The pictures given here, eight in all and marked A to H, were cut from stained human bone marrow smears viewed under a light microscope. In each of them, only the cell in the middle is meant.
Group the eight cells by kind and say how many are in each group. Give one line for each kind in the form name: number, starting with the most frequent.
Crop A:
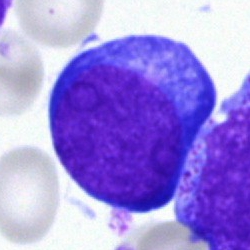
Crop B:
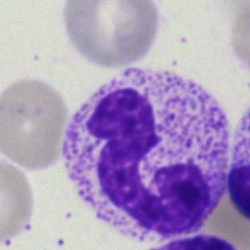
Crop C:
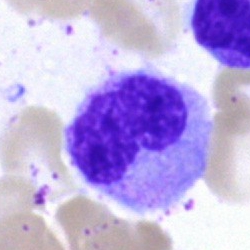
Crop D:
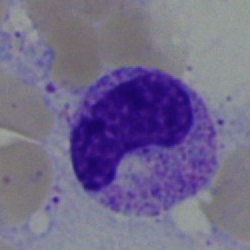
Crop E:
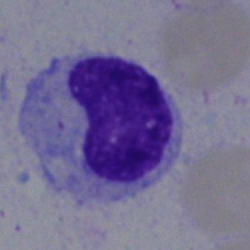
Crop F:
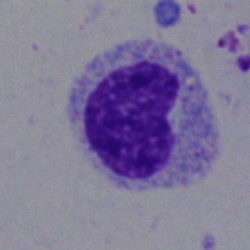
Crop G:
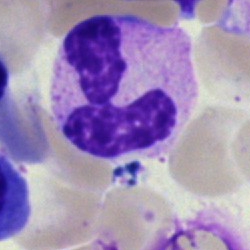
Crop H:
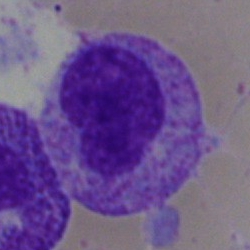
metamyelocyte: 5
segmented neutrophil: 2
proerythroblast: 1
